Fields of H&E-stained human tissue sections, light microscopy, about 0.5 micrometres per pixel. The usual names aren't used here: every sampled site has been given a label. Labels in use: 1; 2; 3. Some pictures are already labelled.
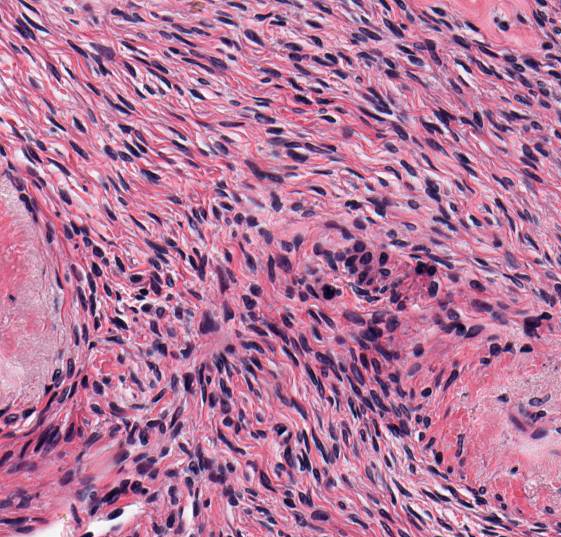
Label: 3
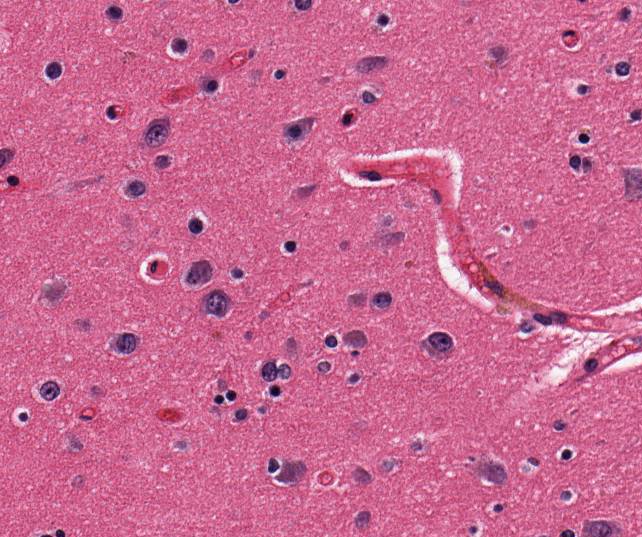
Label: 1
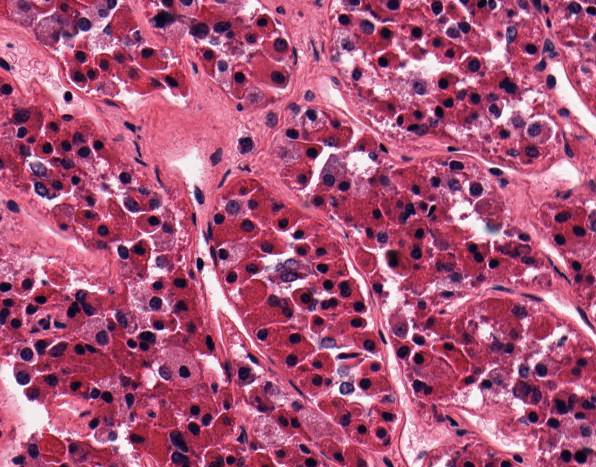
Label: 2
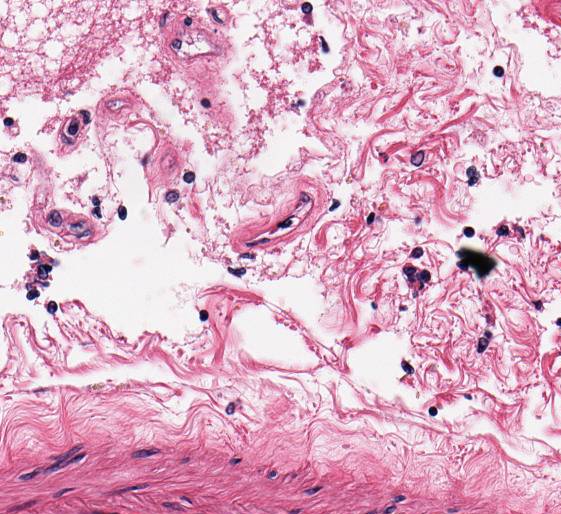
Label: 1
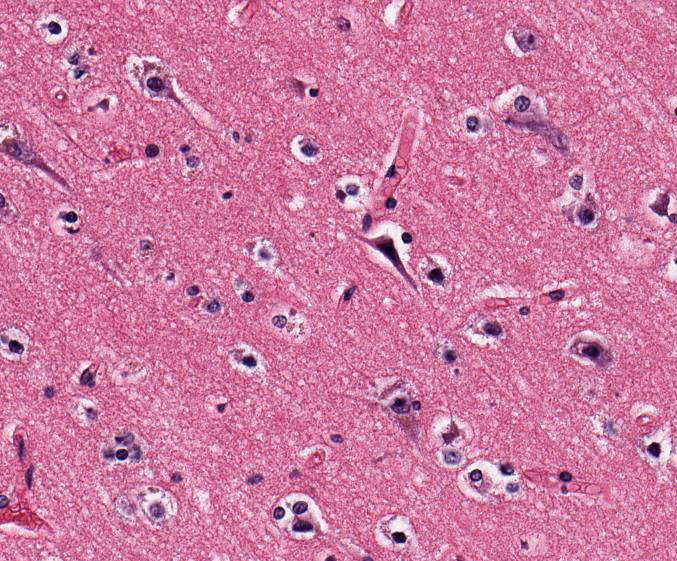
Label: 1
